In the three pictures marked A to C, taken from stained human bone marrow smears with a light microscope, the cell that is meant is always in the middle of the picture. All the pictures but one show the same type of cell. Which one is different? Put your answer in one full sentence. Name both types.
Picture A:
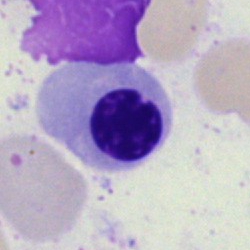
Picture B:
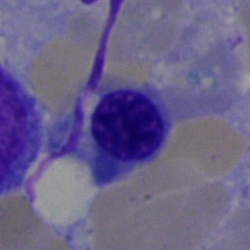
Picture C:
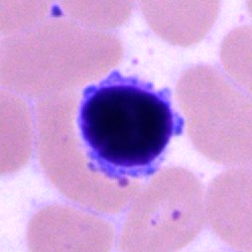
Picture C is the odd one out: it shows a lymphocyte, while the others show erythroblasts.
